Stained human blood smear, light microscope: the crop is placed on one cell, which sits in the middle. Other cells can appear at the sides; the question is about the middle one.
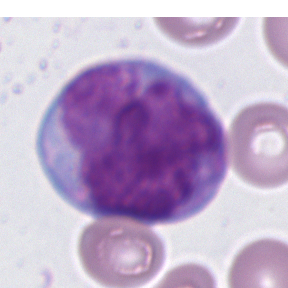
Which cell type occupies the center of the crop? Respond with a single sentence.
The cell occupying the middle of the crop is an atypical promyelocyte.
